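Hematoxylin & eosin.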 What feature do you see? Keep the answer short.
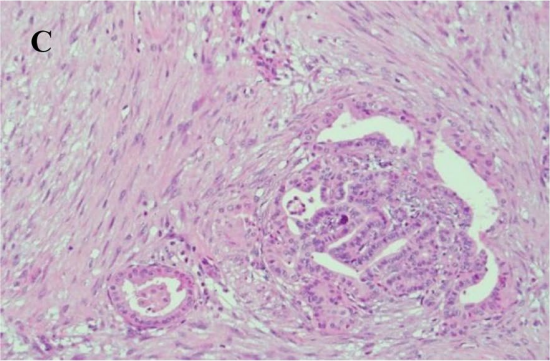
papillary structures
